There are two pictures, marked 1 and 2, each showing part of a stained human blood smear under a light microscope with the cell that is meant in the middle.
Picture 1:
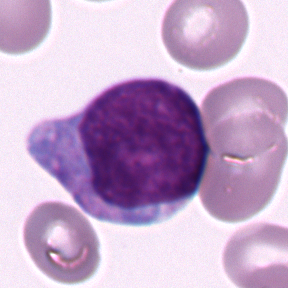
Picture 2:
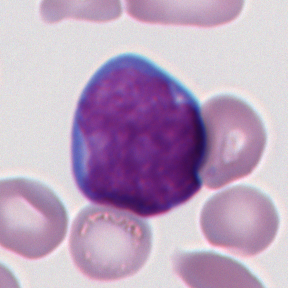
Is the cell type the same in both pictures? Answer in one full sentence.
No. Picture 1 shows an atypical promyelocyte, but picture 2 shows a myeloblast.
